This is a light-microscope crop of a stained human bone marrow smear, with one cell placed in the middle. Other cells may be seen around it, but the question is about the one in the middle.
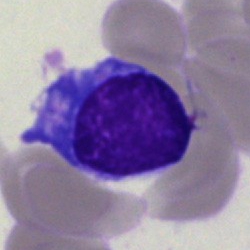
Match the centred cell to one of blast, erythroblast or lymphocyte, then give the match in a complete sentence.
What the crop centres on is a lymphocyte.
